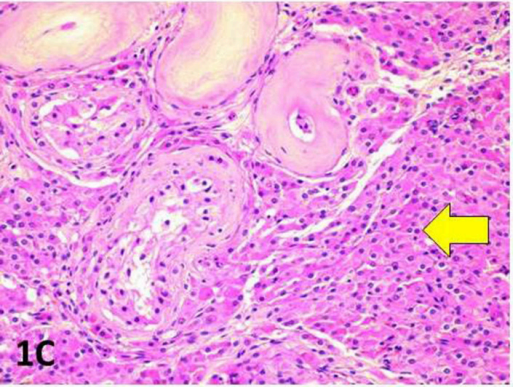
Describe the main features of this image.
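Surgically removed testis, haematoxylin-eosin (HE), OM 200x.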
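This testicular tissue shows extensive sheets of Leydig cells surrounding small atrophic seminiferous tubules. The Leydig cells are polygonal, with pink cytoplasm and round central nuclei, and they fill most of the interstitial space. The tubules are shrunken, with thick, pale, glassy walls; some are almost entirely replaced by homogeneous pink material with a narrow central lumen. Other tubules contain only a sparse layer of cells with pale nuclei and no layered germ cells. Thin fibrous strands separate the groups of cells.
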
